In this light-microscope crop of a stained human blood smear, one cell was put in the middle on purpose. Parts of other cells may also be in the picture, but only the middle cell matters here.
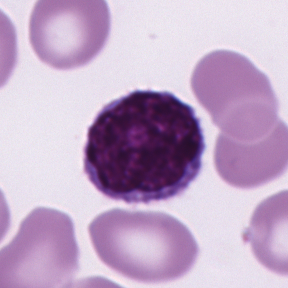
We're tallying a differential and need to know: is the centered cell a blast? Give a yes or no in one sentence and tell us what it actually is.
No, not a blast: the cell in the middle of this crop is a lymphocyte.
